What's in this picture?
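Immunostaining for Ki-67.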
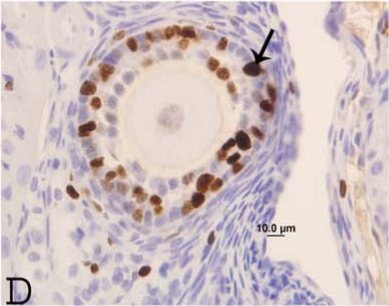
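An ovarian follicle with a large round oocyte in the middle, its pale cytoplasm bounded by a clear zona, is ringed by about two layers of closely packed cuboidal cells. Many of these cells have round nuclei stained dark brown, others blue; the arrow points to one dark nucleus at the edge. Outside the cell layers a thin sheath of flattened, spindle-shaped cells surrounds the follicle, and beyond lies loose stroma. No fluid cavity has formed between the cells. This is a growing follicle whose enlarging cell layers contain many dividing cells.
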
